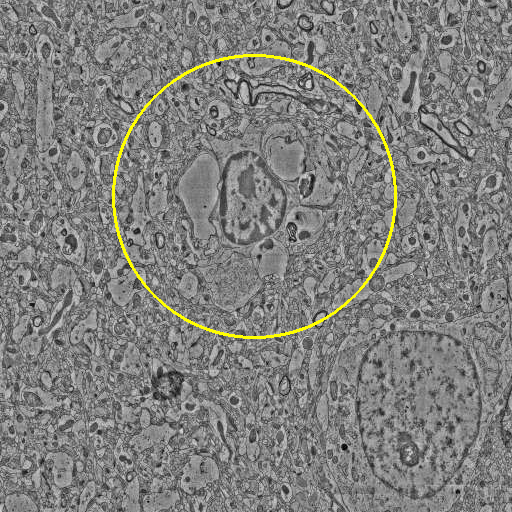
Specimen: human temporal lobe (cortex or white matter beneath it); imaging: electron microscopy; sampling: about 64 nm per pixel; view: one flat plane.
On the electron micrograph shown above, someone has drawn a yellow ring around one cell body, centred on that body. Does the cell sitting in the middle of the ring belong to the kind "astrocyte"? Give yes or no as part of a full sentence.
No, the cell located in the middle of the ring in the micrograph is of a different kind.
